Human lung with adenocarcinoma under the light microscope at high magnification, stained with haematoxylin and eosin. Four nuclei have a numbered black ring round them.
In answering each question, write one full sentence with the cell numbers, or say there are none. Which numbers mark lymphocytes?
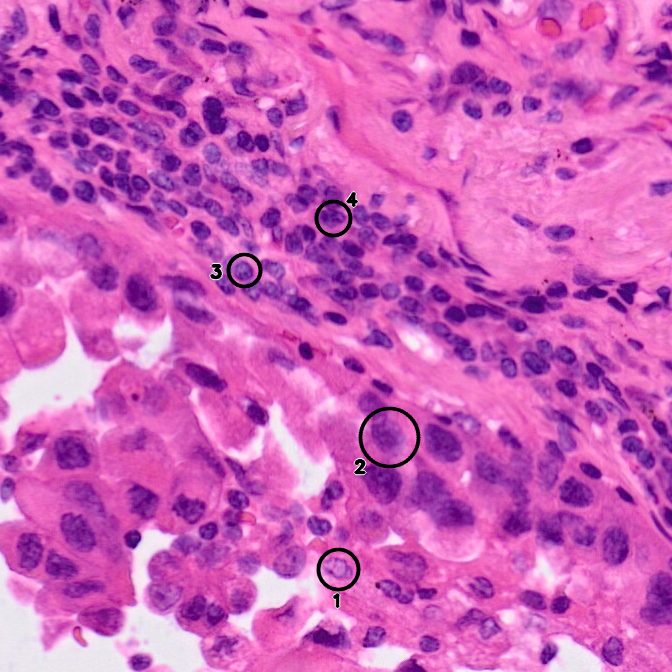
The cells labelled 3 and 4 in this section are lymphocytes.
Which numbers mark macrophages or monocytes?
Cell 1 represents a macrophage or monocyte, and no other numbered cell does.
